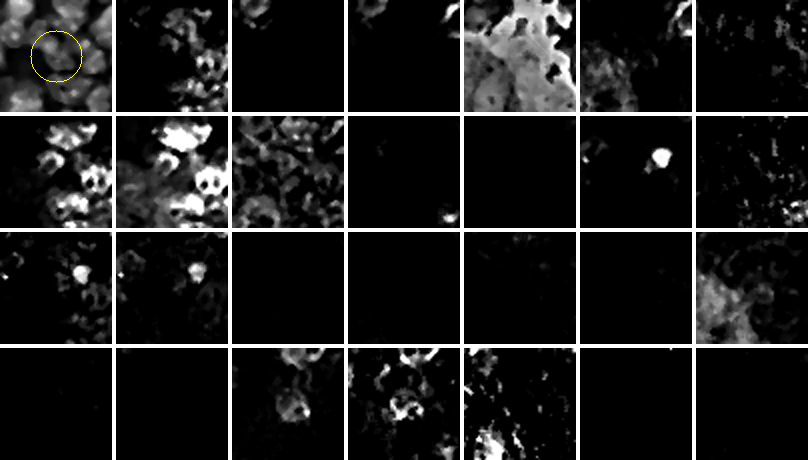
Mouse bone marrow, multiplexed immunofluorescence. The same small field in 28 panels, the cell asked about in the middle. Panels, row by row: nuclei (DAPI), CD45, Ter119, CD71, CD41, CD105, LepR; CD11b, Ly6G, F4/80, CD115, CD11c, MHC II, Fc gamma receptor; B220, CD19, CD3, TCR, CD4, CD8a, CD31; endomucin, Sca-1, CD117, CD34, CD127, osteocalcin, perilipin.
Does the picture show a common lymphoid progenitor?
No, it shows a megakaryocyte progenitor.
